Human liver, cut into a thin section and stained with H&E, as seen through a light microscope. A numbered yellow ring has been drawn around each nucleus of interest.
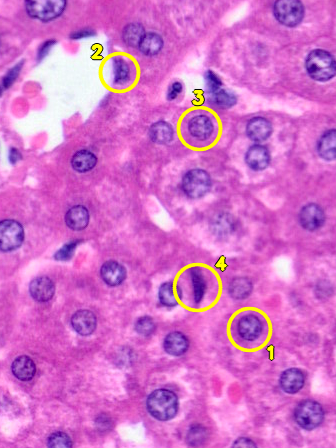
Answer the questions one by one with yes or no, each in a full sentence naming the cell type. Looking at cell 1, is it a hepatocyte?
Yes, the cell pointed out as number 1 is a hepatocyte.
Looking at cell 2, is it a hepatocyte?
No, cell 2 should be read as a fibroblast or stellate cell instead of a hepatocyte.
